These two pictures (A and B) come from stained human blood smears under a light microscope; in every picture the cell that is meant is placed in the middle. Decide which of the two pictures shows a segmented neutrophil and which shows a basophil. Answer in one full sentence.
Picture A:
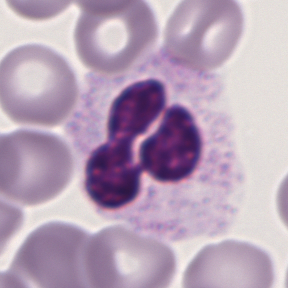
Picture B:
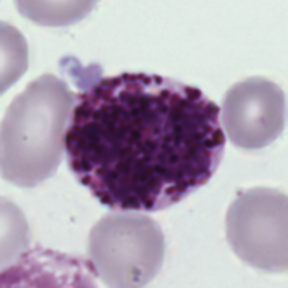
Picture A is of a segmented neutrophil, and picture B is of a basophil.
